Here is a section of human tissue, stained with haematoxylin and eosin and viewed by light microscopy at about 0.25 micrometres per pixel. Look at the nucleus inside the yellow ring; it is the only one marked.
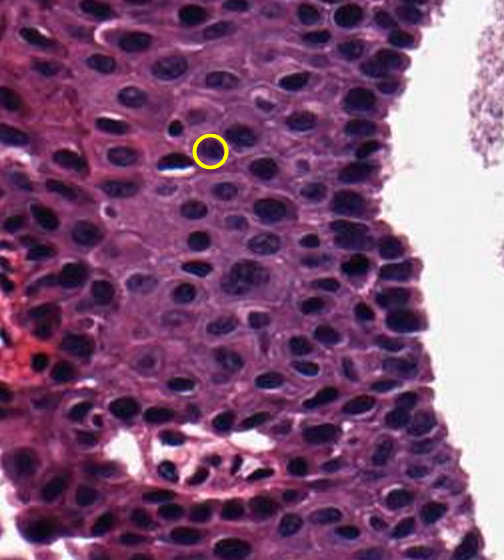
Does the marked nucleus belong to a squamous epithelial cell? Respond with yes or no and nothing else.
yes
